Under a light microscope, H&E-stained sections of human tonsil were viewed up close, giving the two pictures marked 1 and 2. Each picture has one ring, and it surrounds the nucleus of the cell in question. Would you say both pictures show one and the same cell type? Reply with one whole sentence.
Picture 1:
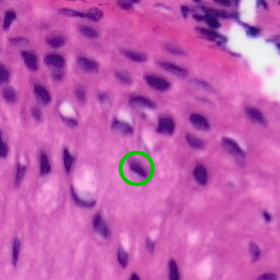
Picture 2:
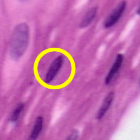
Yes, both cells are squamous epithelial cells.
